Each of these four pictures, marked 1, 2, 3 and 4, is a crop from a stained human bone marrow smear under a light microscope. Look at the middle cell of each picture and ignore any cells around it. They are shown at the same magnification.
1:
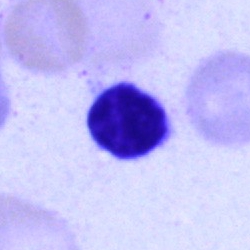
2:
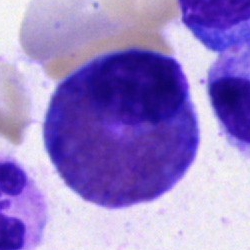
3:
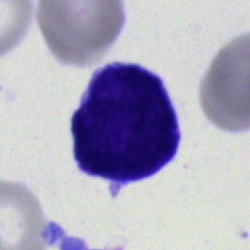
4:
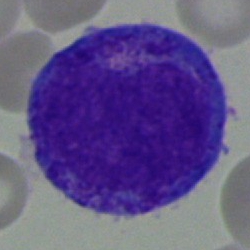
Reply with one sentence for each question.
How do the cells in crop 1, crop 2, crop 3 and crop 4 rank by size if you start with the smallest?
The order is 1, 3, 2, 4, beginning with the smallest.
